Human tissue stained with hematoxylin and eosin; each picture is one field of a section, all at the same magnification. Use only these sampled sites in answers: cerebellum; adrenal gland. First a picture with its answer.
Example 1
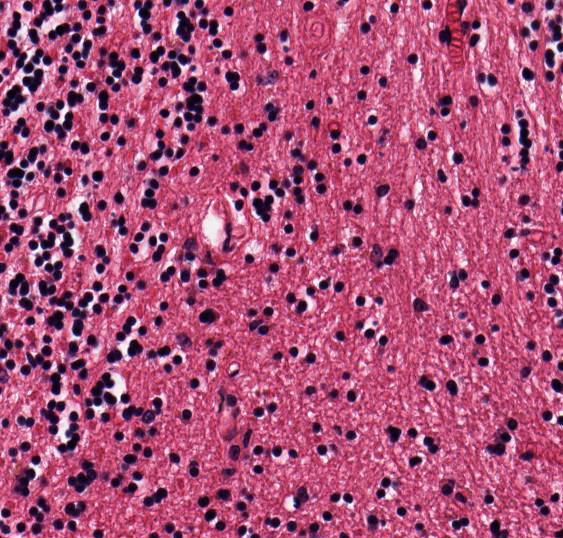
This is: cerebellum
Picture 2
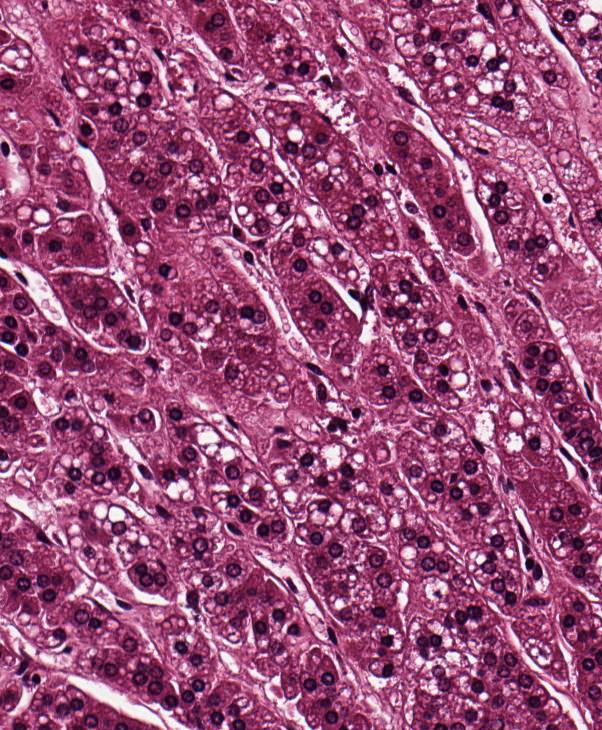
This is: adrenal gland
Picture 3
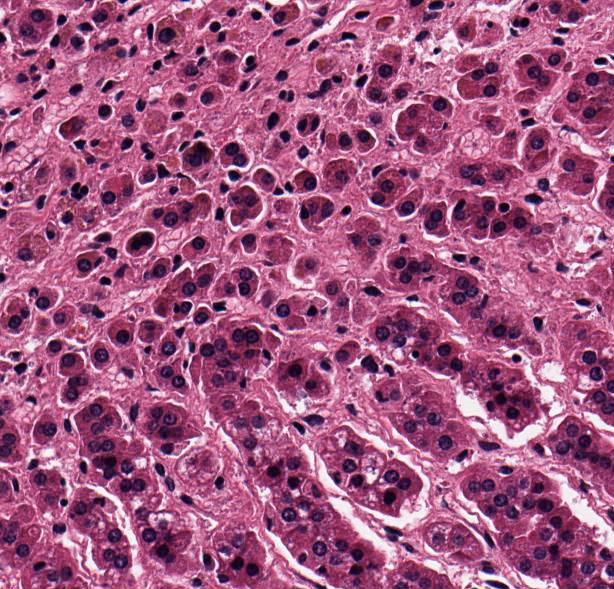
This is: adrenal gland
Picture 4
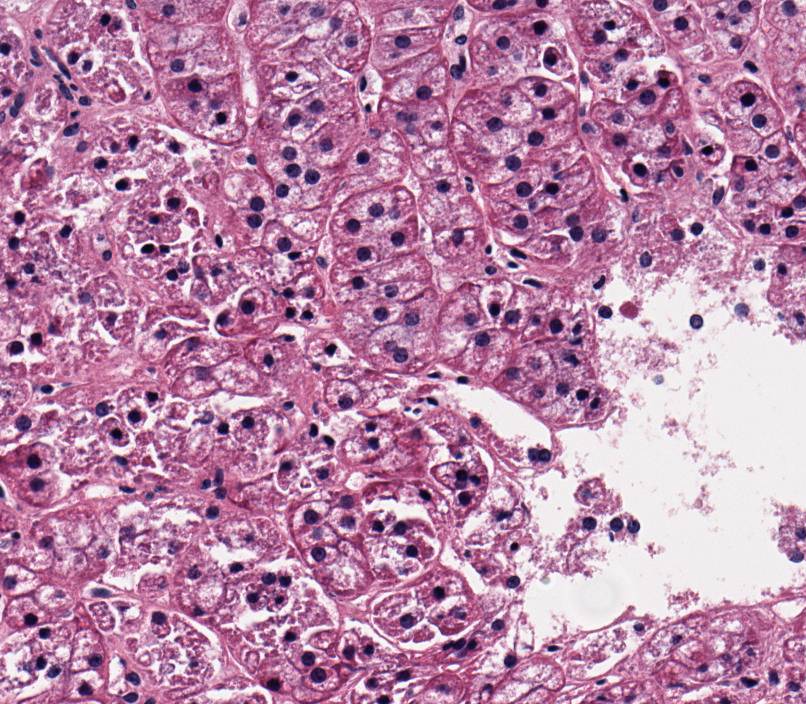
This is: adrenal gland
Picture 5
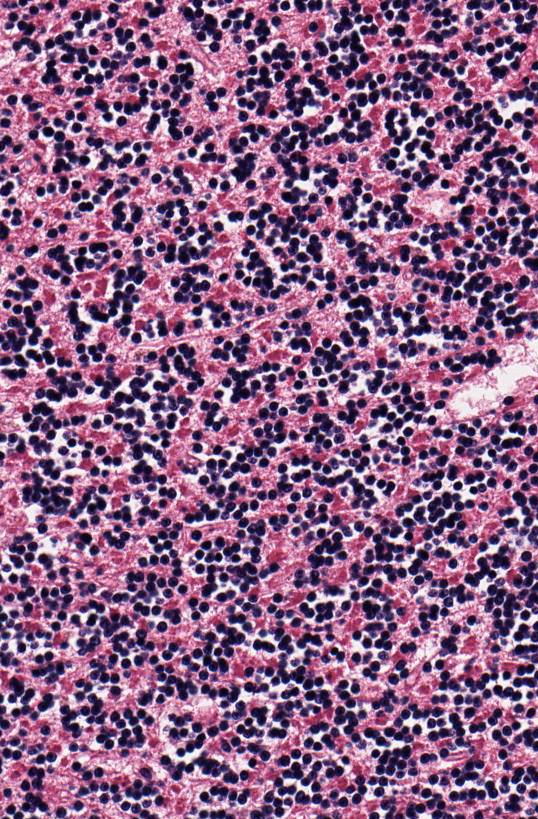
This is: cerebellum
